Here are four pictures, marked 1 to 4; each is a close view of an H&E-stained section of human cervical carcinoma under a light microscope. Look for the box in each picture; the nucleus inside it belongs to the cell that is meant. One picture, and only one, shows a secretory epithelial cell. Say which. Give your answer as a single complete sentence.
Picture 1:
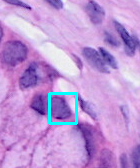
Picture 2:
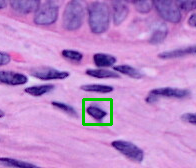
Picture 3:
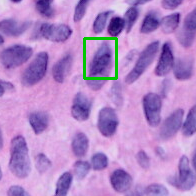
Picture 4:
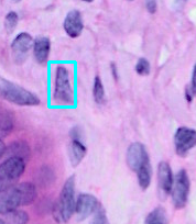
The cell in picture 1 is the secretory epithelial cell.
